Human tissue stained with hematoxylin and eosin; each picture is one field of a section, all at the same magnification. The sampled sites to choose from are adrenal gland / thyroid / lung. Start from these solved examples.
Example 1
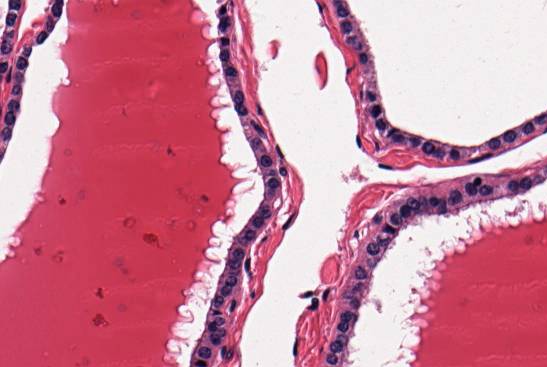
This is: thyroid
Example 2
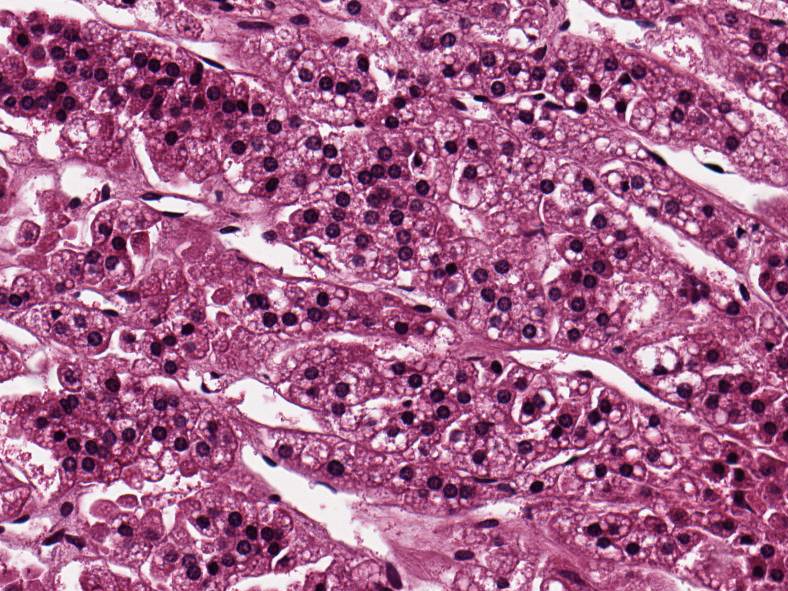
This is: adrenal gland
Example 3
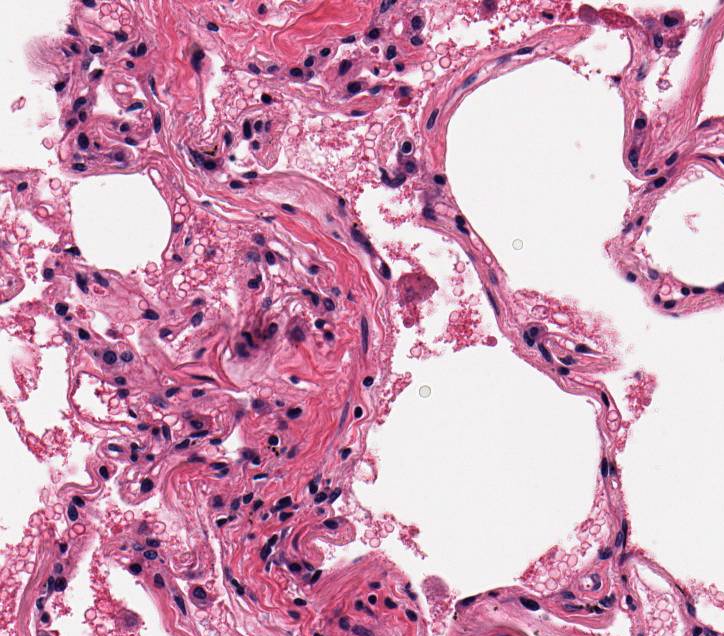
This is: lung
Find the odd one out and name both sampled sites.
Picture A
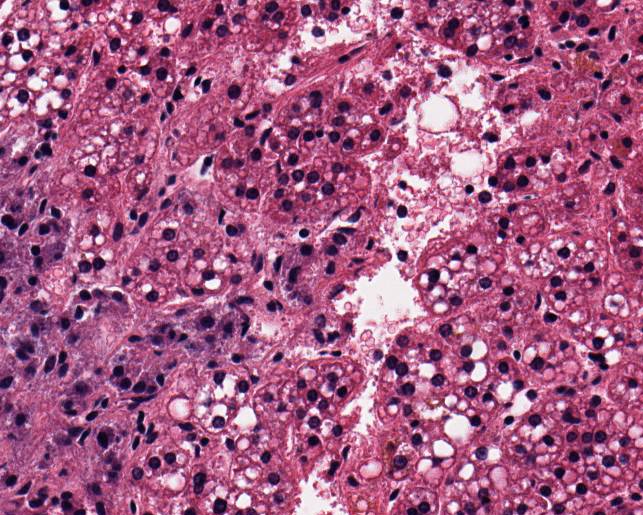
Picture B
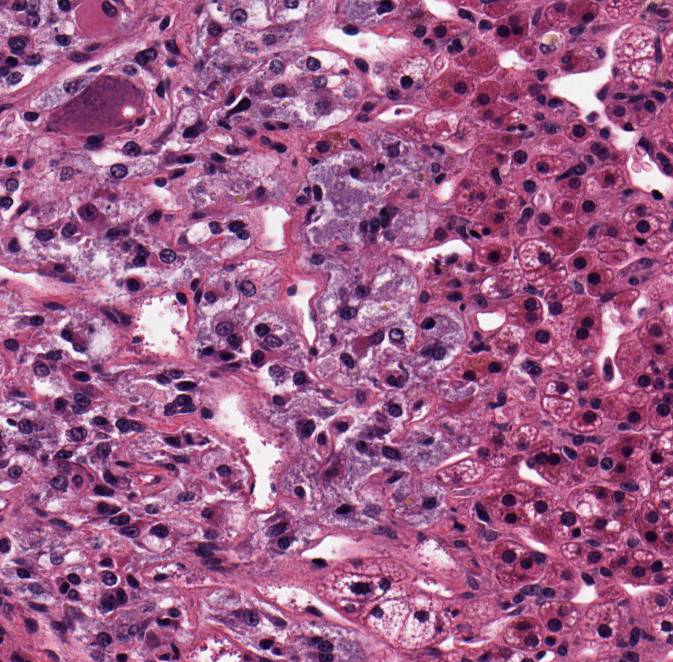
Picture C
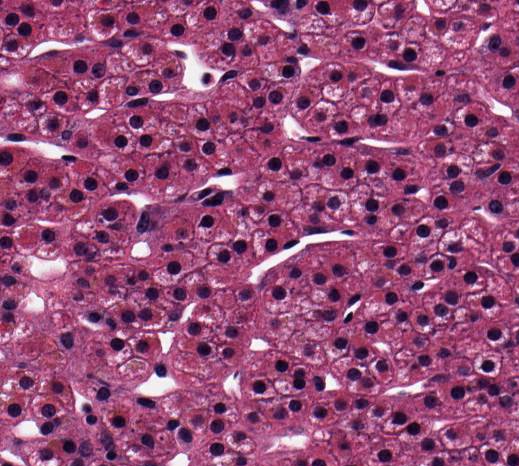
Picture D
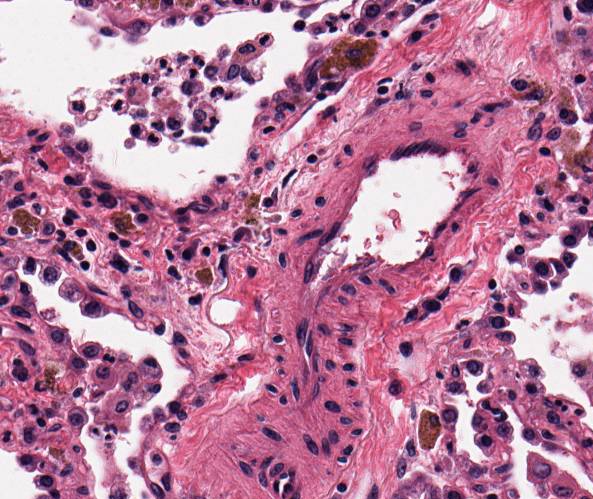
D (lung) is the exception; every other picture is adrenal gland.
